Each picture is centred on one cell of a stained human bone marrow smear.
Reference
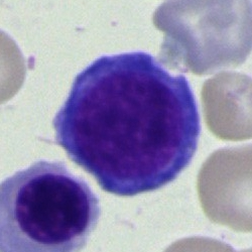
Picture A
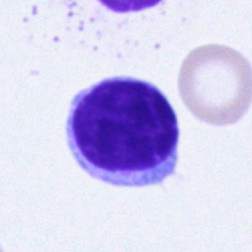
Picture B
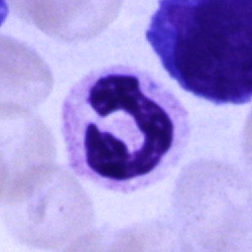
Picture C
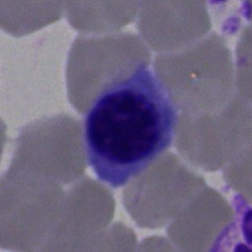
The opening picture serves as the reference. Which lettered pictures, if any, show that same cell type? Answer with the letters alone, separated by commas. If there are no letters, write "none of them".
C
